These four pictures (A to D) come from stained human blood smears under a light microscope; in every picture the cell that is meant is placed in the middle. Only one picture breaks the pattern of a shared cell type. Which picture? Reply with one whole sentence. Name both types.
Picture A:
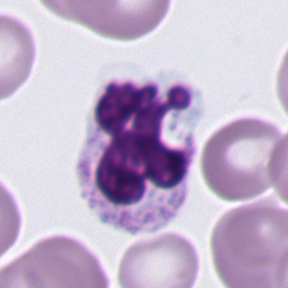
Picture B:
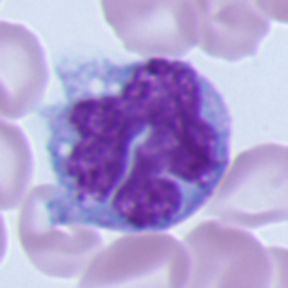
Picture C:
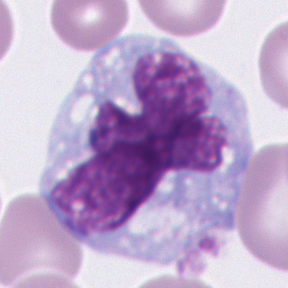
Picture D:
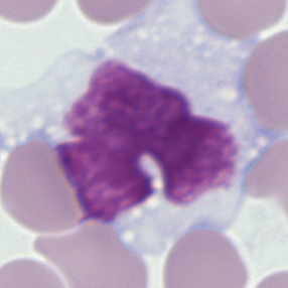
All pictures except A show monocytes; picture A shows a segmented neutrophil.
